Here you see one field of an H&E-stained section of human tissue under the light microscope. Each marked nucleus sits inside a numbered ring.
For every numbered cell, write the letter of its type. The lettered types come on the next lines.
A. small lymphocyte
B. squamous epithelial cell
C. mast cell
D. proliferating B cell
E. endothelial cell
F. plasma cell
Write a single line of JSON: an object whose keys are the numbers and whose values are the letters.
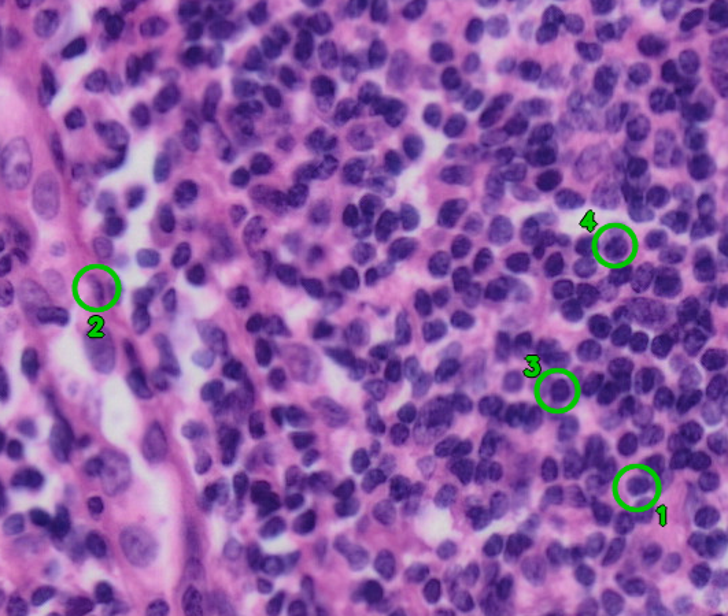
{"1": "A", "2": "E", "3": "A", "4": "A"}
